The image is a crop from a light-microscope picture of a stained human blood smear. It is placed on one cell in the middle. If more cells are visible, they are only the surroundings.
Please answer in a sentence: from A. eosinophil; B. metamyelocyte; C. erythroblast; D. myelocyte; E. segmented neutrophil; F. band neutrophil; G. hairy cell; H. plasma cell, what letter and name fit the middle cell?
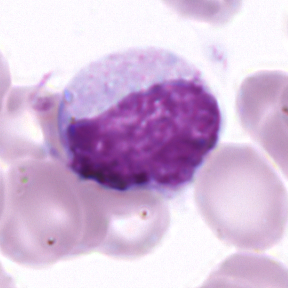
With the cell in the middle being a metamyelocyte, option B is the correct choice.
